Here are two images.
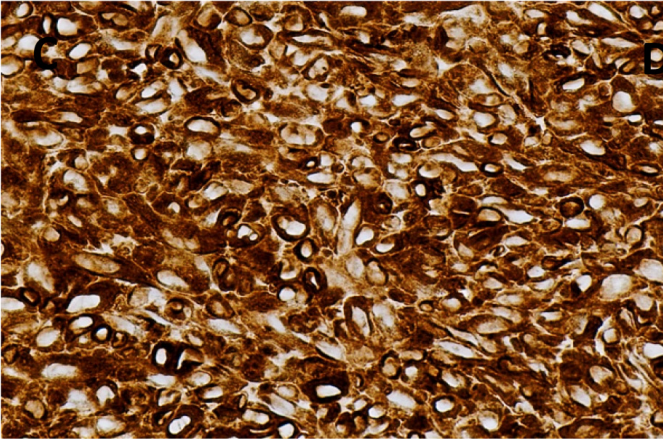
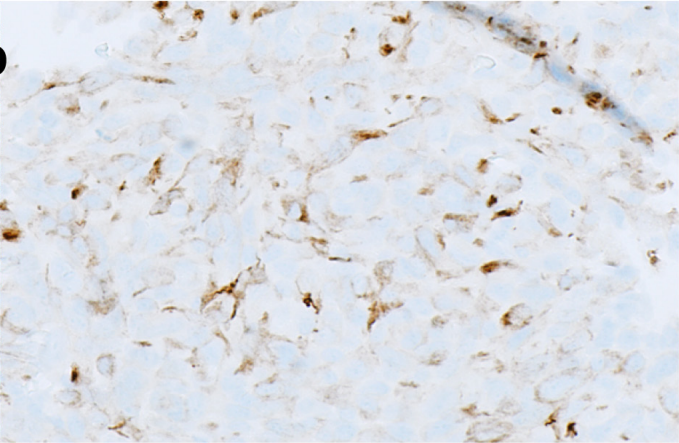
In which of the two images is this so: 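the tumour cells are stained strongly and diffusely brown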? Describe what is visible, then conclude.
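The first image. Second image: only scattered cells show faint or small brown deposits on a mostly blue background. First image: nearly every cell's cytoplasm is stained dark brown throughout the field.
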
